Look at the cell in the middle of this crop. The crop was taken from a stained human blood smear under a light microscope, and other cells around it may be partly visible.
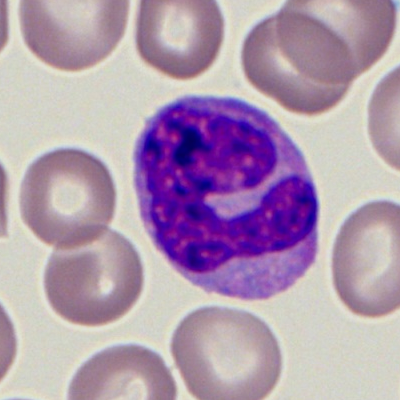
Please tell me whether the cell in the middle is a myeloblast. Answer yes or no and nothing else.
no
